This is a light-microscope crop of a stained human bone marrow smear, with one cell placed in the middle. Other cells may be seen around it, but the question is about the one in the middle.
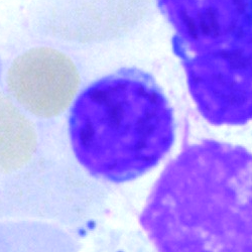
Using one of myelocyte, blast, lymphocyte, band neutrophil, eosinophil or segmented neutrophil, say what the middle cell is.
lymphocyte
